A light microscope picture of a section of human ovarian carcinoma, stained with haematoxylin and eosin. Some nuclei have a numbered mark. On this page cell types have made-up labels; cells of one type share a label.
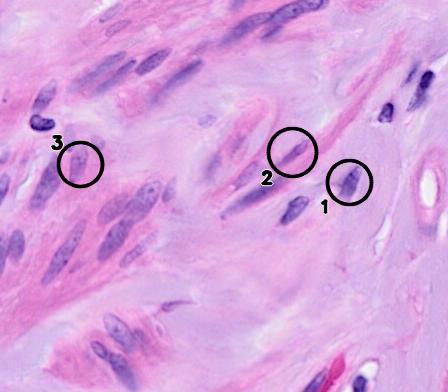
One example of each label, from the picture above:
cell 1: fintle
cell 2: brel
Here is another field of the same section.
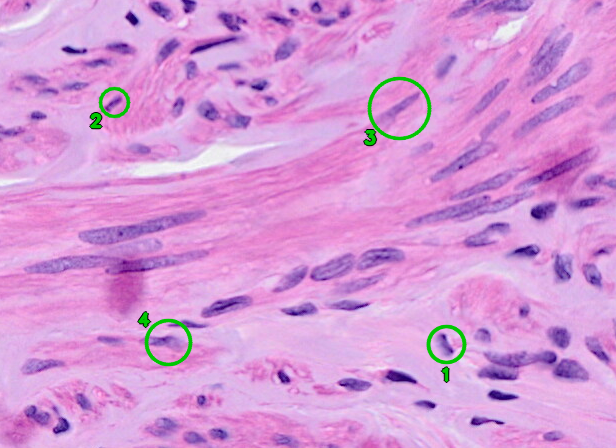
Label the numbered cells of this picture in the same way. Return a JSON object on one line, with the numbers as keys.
{"1": "fintle", "2": "brel", "3": "brel", "4": "brel"}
